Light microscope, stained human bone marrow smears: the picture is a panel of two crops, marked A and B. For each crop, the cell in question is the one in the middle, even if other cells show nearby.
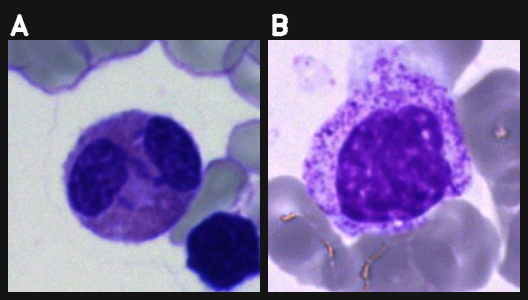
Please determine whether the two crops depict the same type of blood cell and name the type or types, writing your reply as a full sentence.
No, crop A shows an eosinophil, whereas in crop B the cell is a myelocyte.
